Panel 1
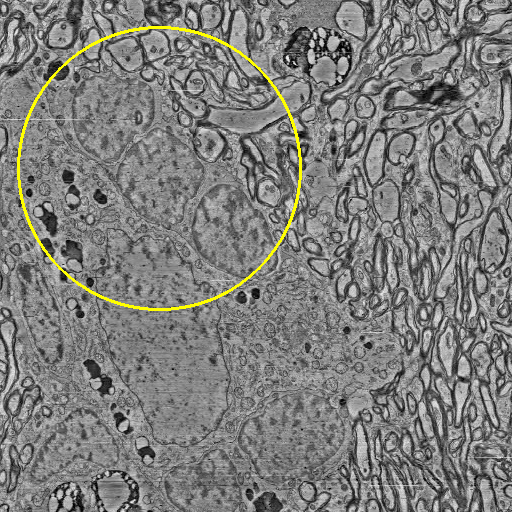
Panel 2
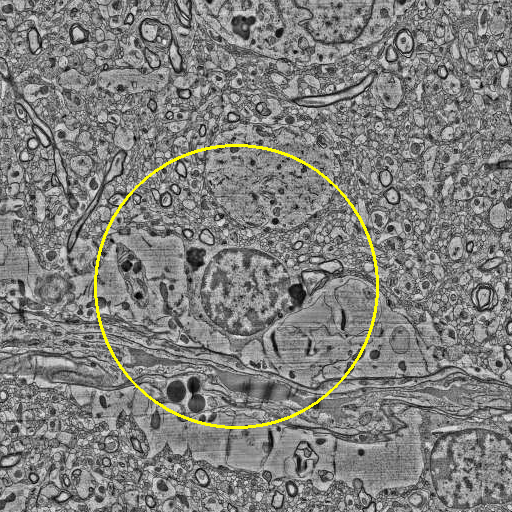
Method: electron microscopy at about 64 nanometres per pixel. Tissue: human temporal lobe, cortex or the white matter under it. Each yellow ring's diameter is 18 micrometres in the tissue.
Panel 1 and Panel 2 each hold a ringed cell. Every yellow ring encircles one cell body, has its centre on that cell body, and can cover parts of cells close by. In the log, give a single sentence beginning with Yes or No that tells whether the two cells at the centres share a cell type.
Yes, in Panel 1 and Panel 2 the centred cells share a cell type.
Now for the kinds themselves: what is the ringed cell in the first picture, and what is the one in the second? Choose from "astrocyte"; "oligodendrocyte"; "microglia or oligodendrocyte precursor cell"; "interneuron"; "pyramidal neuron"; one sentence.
The ring centre holds an oligodendrocyte in each of the two pictures.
